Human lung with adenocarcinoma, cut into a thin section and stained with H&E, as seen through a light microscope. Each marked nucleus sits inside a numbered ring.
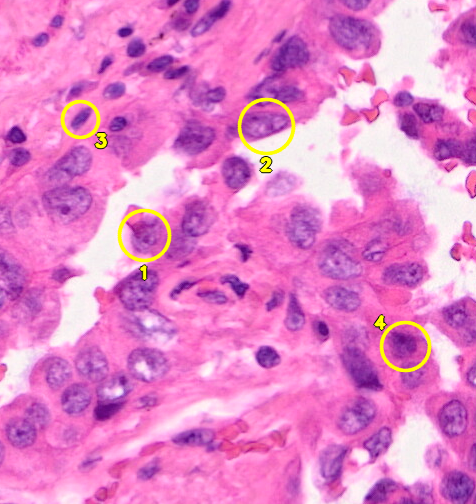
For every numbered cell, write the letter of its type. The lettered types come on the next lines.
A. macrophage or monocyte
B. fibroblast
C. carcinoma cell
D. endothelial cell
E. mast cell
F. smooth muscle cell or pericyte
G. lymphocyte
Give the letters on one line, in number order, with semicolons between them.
C; C; G; C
